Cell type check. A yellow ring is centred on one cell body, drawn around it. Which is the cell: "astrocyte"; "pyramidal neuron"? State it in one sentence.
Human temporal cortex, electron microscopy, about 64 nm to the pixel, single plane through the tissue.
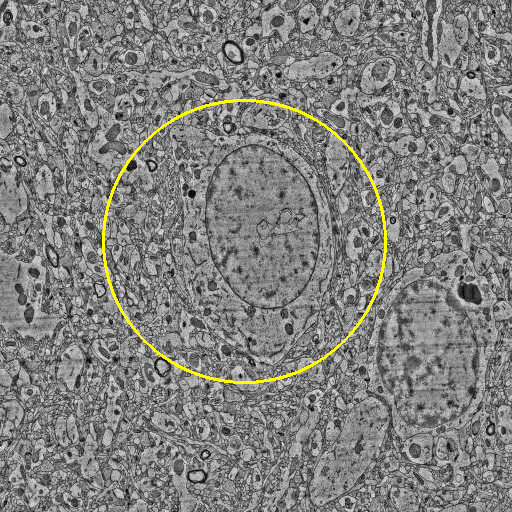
The cell body at the ring's centre belongs to a pyramidal neuron.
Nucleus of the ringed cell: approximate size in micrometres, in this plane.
Approximately 11 x 7 micrometres in this plane.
